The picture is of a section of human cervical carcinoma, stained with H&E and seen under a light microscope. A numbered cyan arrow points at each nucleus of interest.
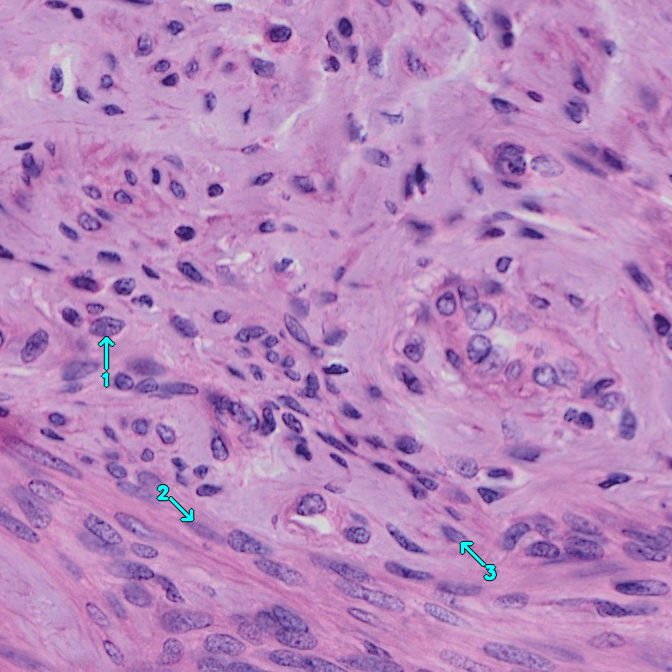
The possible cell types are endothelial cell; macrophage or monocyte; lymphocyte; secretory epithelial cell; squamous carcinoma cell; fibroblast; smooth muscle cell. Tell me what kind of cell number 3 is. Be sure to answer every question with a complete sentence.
The cell numbered 3 has been identified as a smooth muscle cell.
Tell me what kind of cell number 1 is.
Corresponding to a fibroblast is the cell labelled 1.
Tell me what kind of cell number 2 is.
The correct label for cell 2 is a smooth muscle cell.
